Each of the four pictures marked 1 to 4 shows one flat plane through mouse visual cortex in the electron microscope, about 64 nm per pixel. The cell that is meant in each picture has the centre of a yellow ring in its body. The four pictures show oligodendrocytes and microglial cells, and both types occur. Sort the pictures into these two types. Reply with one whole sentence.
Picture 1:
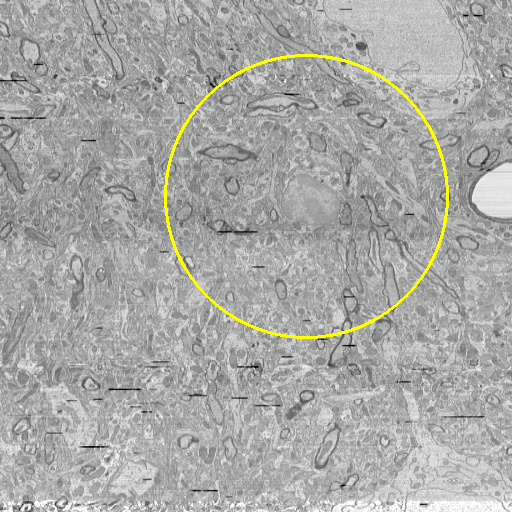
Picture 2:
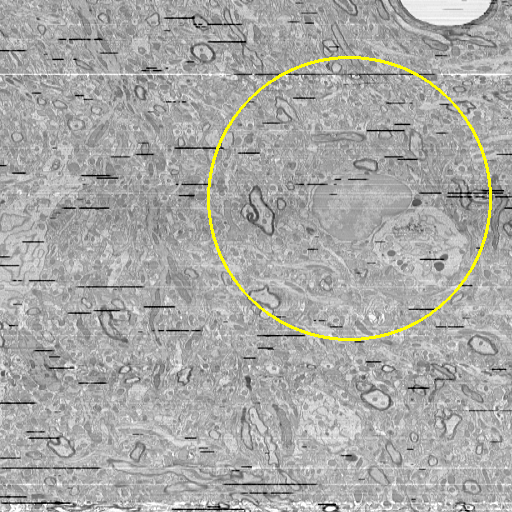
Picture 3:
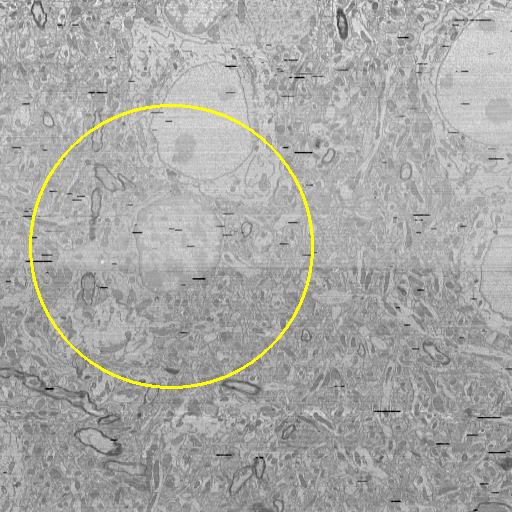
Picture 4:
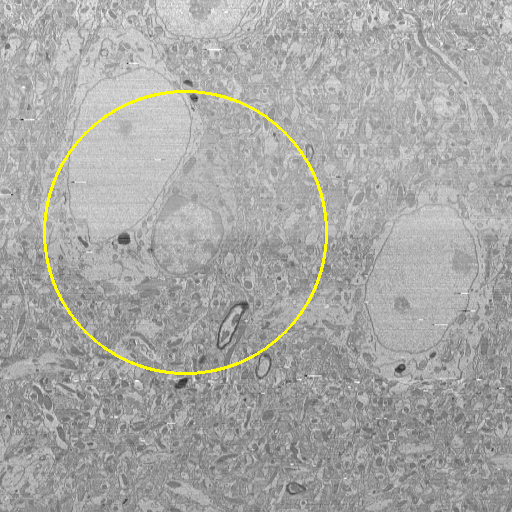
Pictures 3 and 4 show oligodendrocytes; pictures 1 and 2 show microglial cells.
